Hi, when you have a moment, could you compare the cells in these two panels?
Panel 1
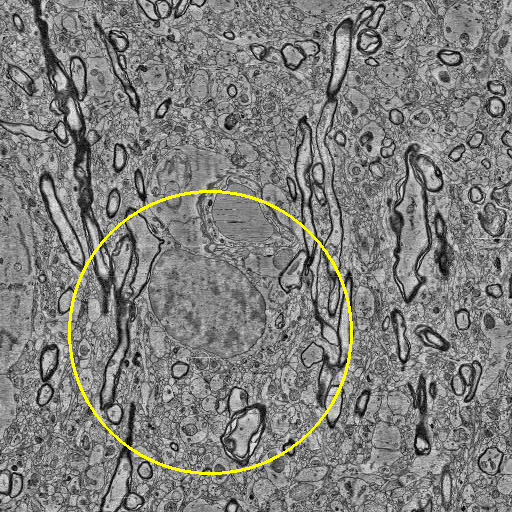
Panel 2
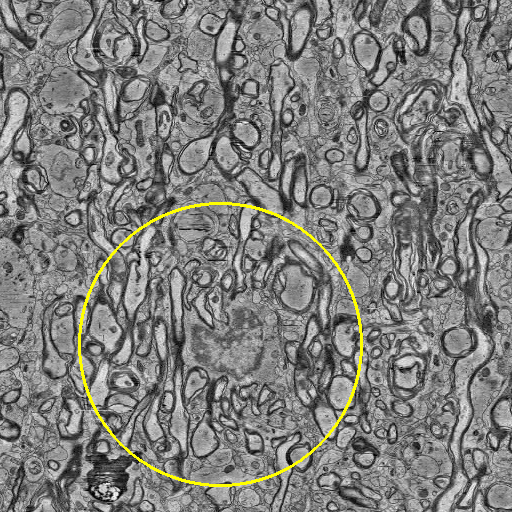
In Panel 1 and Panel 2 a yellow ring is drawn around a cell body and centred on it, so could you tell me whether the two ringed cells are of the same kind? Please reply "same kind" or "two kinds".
same kind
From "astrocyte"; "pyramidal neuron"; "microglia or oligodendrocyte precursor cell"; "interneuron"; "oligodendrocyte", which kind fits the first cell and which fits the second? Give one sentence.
Each of the two rings surrounds an oligodendrocyte.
